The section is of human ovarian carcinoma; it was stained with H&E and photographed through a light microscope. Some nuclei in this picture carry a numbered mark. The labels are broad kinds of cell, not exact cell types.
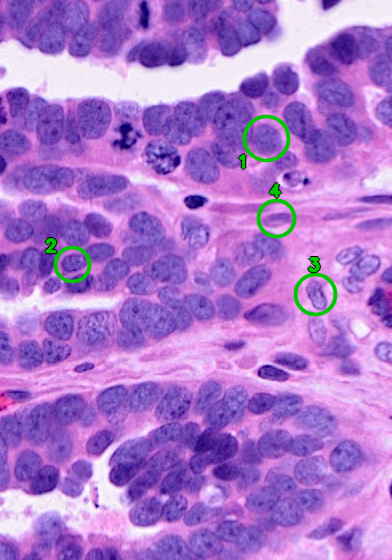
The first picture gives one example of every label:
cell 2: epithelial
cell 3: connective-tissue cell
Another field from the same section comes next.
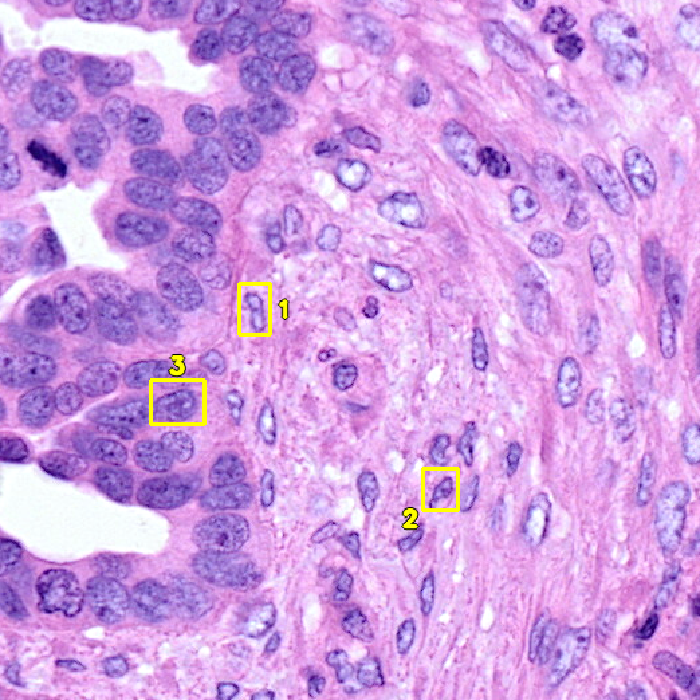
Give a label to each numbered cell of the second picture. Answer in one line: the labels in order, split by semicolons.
connective-tissue cell; connective-tissue cell; epithelial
